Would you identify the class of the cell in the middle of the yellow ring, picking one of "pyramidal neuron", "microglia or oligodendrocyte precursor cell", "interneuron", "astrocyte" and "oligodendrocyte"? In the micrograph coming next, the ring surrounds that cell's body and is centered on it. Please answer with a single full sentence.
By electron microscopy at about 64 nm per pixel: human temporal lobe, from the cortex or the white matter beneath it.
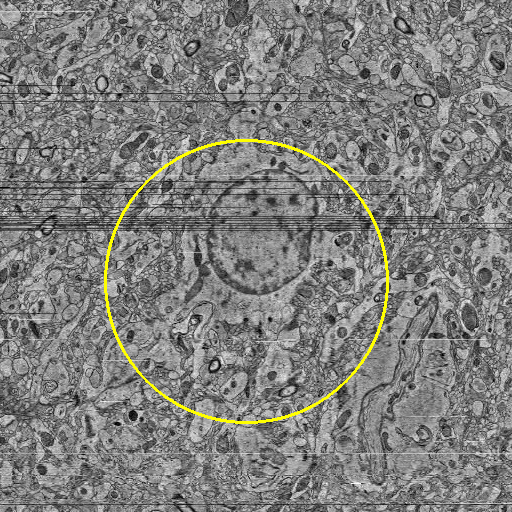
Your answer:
In the micrograph, it is an astrocyte whose body lies at the ring's center.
